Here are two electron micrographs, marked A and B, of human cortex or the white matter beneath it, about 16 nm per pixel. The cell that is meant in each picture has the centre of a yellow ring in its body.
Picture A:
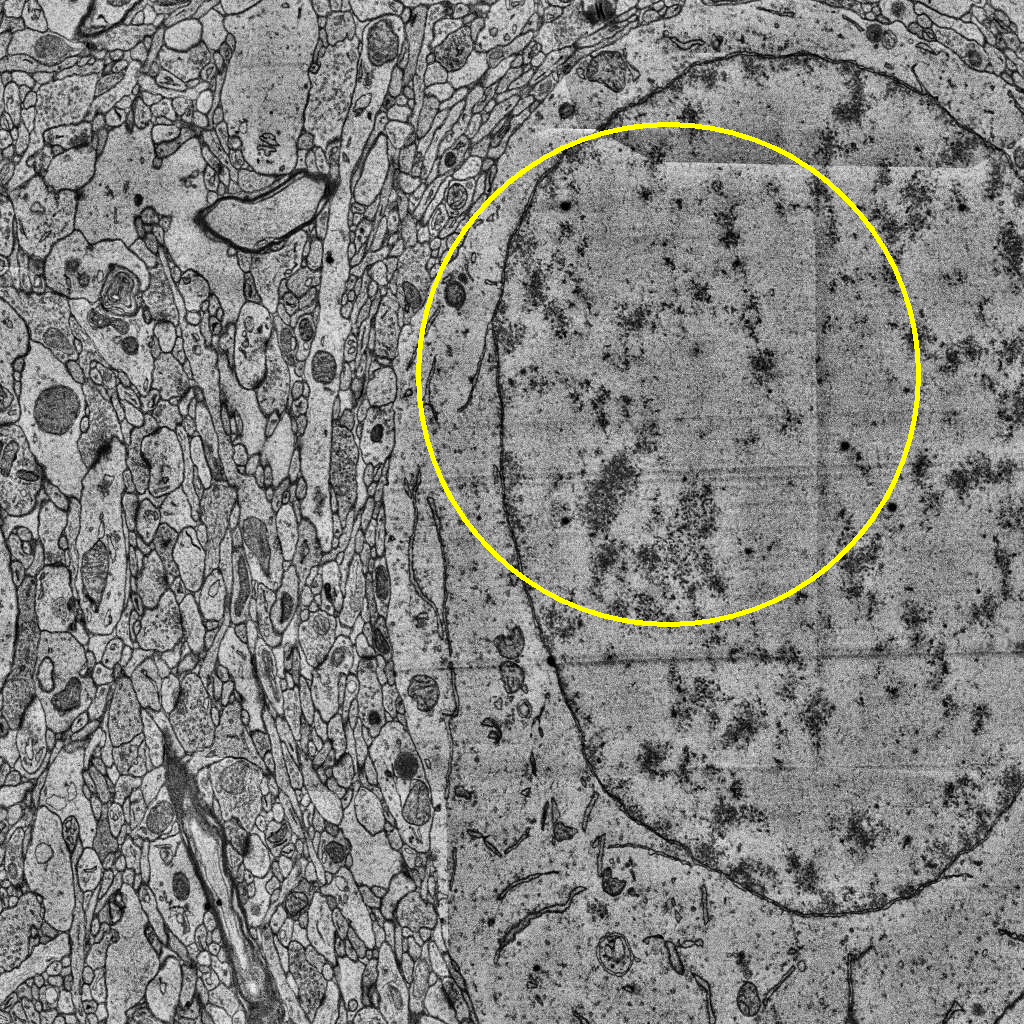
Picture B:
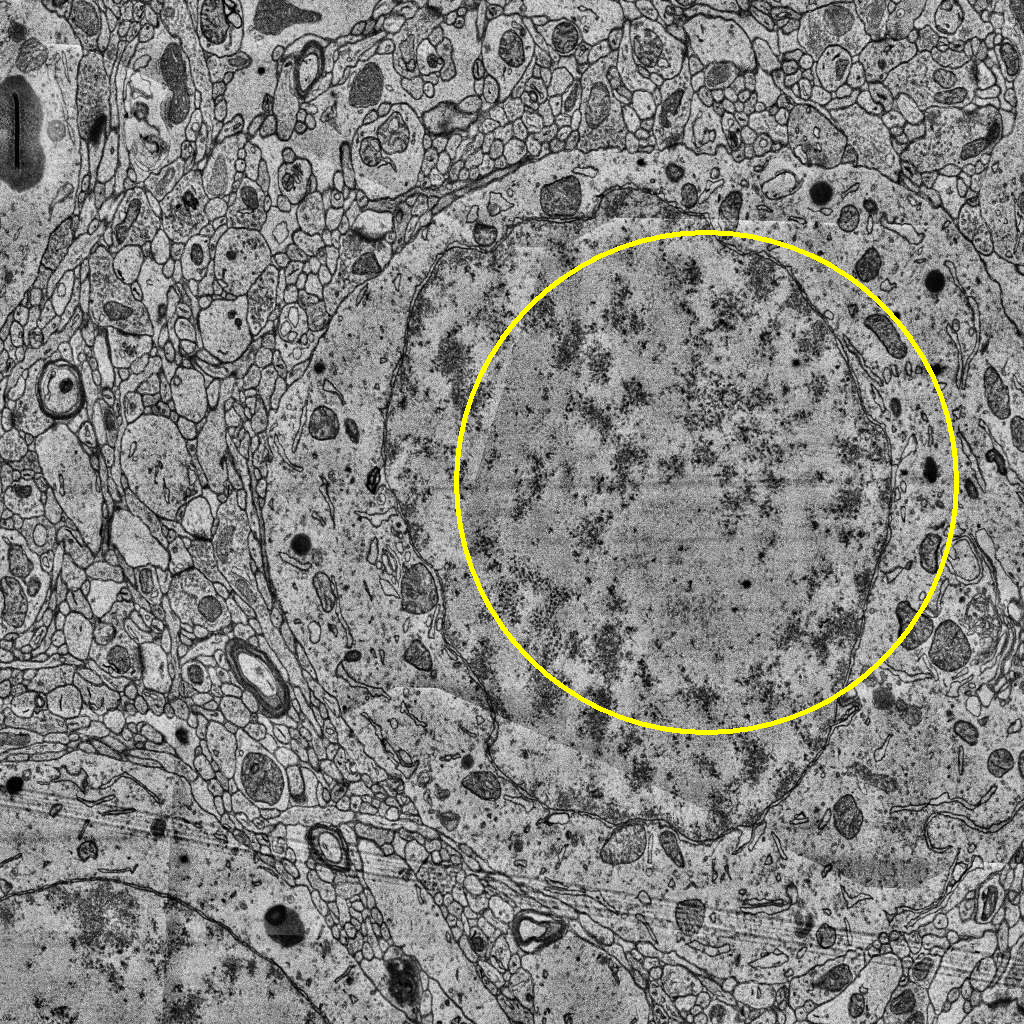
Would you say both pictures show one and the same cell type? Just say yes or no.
no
